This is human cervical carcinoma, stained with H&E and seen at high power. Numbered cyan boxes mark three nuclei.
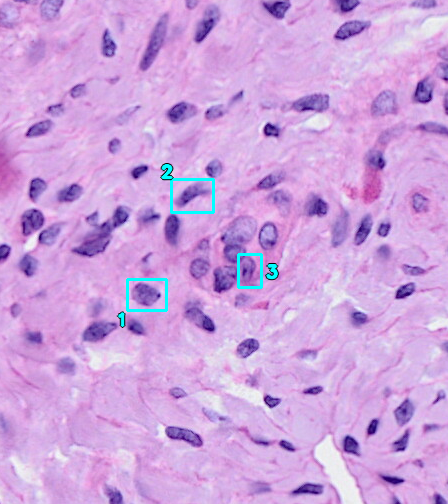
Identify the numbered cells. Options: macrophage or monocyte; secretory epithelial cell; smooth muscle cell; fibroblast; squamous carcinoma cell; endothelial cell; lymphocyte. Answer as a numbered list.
1. fibroblast
2. fibroblast
3. endothelial cell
